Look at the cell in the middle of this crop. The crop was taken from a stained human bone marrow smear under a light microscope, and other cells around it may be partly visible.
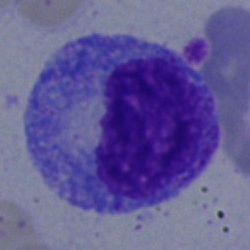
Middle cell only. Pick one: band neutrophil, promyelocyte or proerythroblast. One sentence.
Regarding the central cell, it is a promyelocyte.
